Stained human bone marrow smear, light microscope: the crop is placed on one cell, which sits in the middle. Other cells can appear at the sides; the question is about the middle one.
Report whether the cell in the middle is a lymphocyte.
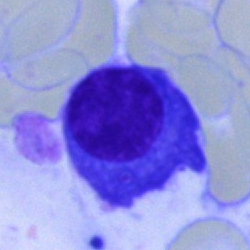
no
